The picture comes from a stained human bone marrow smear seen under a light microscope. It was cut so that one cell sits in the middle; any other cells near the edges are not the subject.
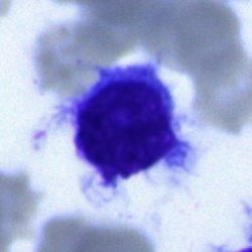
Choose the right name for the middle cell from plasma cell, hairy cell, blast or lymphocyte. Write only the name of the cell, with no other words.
hairy cell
